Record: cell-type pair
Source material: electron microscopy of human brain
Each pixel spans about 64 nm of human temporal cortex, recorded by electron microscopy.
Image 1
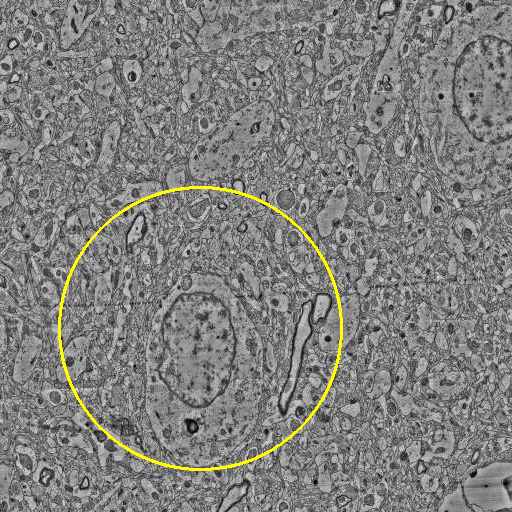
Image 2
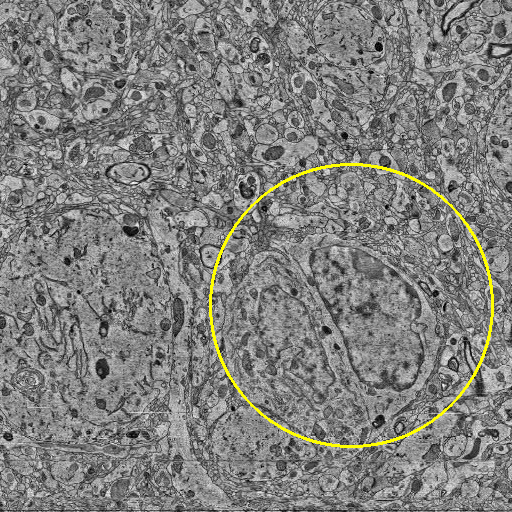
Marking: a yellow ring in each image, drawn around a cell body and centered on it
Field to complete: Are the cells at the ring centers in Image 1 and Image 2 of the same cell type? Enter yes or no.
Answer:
no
